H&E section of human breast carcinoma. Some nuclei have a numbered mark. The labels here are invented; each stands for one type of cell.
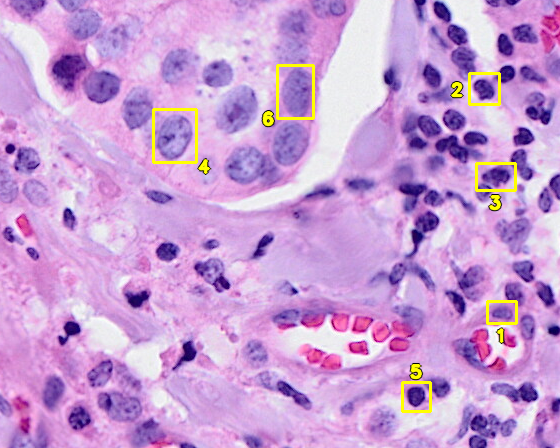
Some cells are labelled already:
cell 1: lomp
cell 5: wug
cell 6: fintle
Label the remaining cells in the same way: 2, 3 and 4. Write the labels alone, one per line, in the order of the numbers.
wug
wug
fintle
